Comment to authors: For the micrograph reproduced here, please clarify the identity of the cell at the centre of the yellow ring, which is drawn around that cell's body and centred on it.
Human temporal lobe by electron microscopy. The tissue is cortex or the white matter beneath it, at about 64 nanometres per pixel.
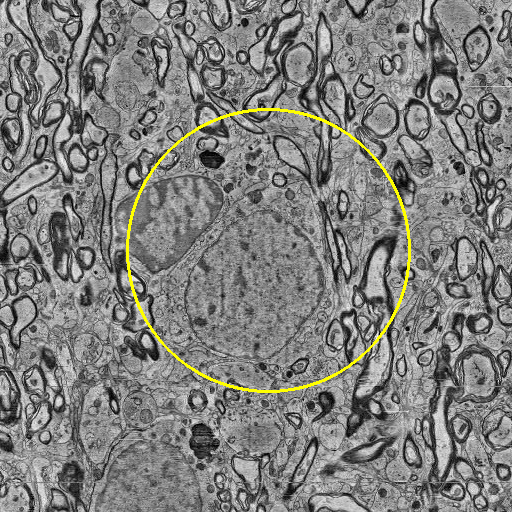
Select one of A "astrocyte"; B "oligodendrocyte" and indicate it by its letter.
A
